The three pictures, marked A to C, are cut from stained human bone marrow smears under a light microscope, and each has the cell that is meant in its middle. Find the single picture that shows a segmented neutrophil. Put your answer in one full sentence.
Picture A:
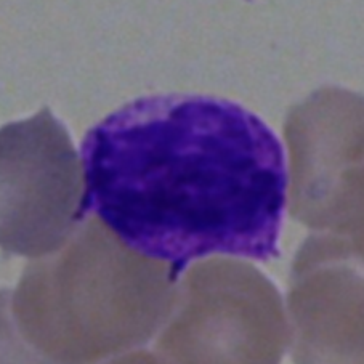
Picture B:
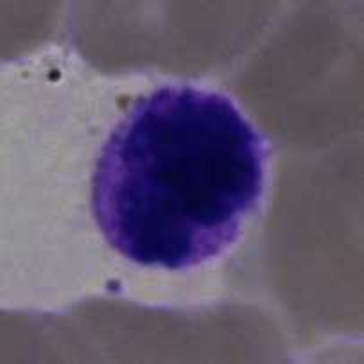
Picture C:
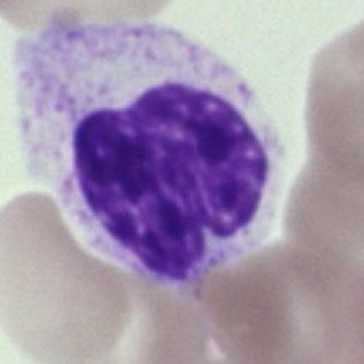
The cell in picture C is the segmented neutrophil.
